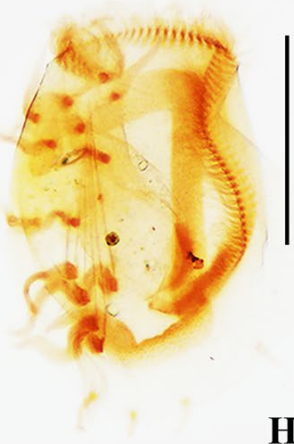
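A long curved band of closely set membranelles runs along the left side and across the front of the cell. Large cirri appear as stained tufts scattered over the ventral surface and clustered toward the posterior end. A long band-shaped macronucleus curves through the body. The cell outline is oval and otherwise pale.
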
